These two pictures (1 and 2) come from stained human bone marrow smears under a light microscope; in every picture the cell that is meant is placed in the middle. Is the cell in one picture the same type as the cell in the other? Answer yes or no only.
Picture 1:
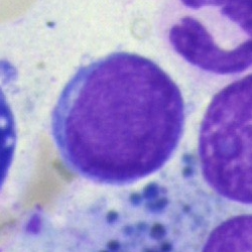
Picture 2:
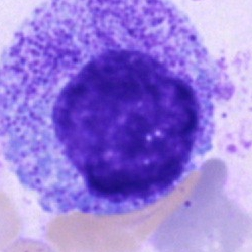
no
